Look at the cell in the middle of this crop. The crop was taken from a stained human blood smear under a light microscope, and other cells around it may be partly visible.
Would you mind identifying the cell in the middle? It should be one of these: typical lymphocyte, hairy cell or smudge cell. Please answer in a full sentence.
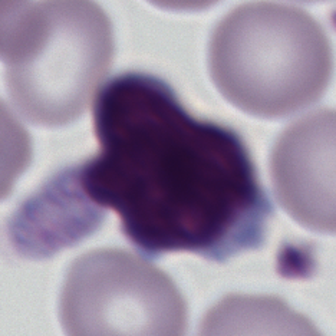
In the centre of this crop there is a typical lymphocyte.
